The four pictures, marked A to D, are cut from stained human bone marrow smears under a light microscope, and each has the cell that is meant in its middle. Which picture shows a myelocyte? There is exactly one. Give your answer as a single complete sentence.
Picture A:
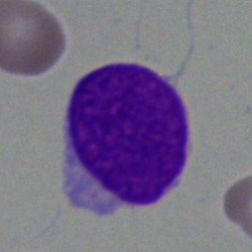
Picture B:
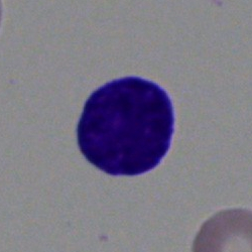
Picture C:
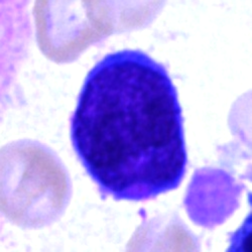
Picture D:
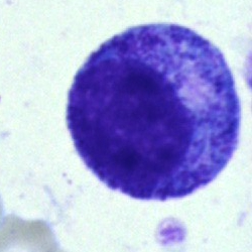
Picture D shows the myelocyte.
